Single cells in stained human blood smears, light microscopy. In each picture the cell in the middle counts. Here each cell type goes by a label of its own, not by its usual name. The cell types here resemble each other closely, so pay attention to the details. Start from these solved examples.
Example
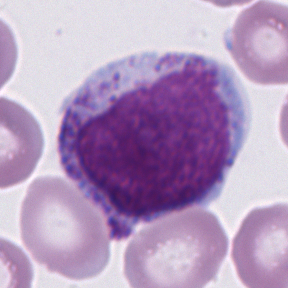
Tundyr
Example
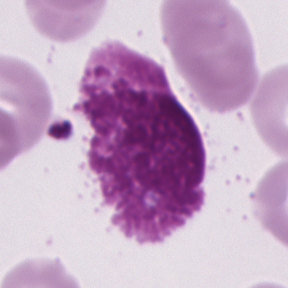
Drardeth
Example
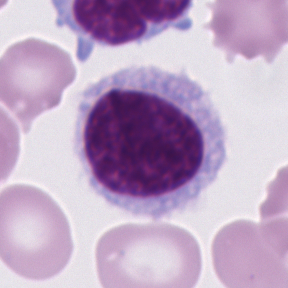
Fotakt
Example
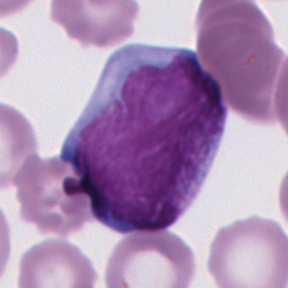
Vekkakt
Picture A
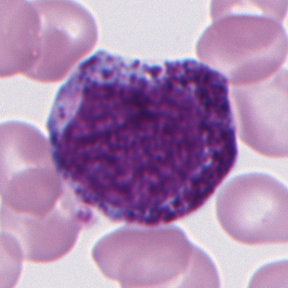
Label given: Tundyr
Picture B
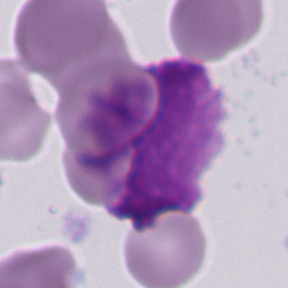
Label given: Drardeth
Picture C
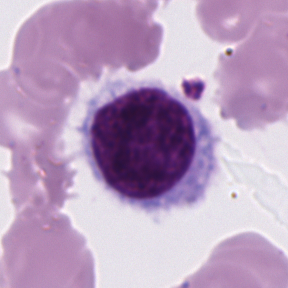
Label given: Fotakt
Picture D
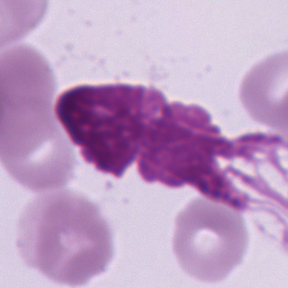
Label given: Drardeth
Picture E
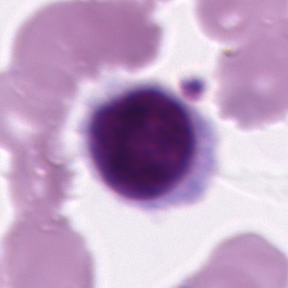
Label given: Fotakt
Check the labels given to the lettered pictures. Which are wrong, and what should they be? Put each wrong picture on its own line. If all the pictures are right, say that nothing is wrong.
Every label is right.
